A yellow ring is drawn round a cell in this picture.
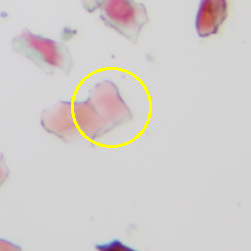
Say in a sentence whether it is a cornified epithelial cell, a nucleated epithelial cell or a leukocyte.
The cell in the ring is a cornified epithelial cell.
